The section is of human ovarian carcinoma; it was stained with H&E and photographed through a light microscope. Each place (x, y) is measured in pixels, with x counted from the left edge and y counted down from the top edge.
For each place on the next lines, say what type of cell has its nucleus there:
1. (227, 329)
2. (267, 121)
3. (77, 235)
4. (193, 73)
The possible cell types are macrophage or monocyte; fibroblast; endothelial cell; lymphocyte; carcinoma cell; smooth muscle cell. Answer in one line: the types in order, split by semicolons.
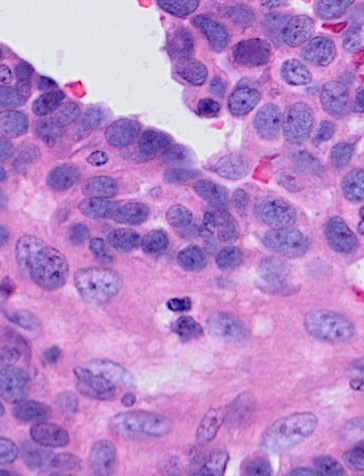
fibroblast; carcinoma cell; carcinoma cell; carcinoma cell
